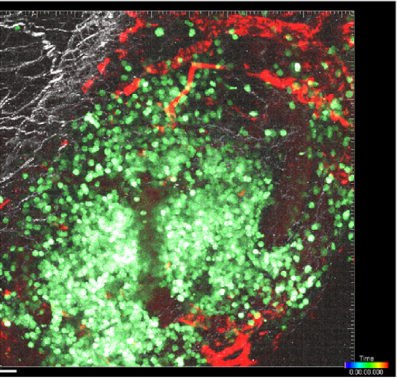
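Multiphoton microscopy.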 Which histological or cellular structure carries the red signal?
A: Blood vessels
